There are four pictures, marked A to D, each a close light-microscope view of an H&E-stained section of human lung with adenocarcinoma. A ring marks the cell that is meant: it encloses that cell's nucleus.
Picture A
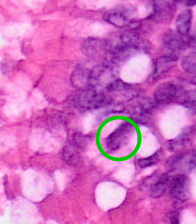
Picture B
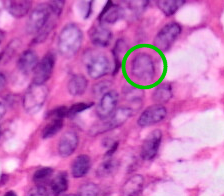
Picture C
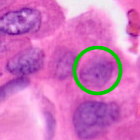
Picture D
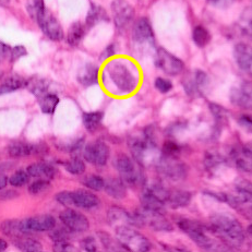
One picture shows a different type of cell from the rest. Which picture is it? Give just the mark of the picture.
C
